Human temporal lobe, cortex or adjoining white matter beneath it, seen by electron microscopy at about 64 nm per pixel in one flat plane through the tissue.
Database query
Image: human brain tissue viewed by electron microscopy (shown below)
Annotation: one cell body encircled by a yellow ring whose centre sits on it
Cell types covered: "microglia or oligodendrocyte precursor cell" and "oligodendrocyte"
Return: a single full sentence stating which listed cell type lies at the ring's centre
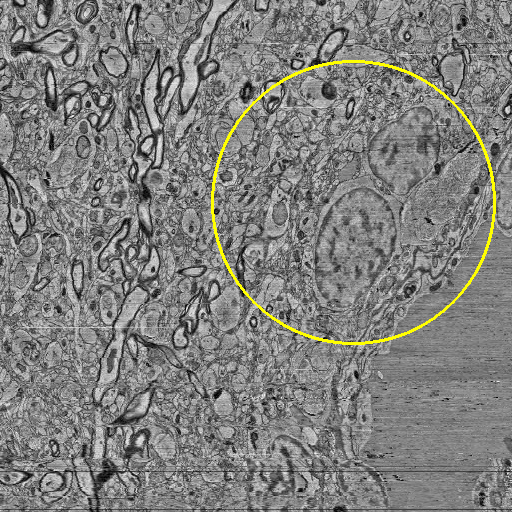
In the image, the cell lying at the ring's centre is an oligodendrocyte.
